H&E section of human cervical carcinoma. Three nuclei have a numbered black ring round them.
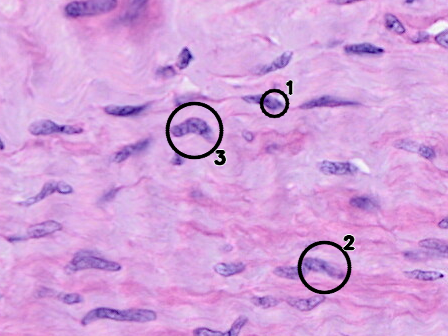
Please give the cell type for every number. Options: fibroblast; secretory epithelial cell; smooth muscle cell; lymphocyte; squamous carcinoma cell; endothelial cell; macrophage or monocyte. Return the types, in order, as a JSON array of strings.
["fibroblast", "smooth muscle cell", "fibroblast"]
